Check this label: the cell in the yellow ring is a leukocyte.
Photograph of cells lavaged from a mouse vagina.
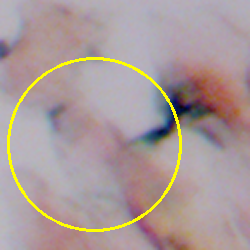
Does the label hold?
The label does not hold; the cell is a cornified epithelial cell.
